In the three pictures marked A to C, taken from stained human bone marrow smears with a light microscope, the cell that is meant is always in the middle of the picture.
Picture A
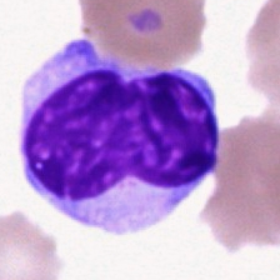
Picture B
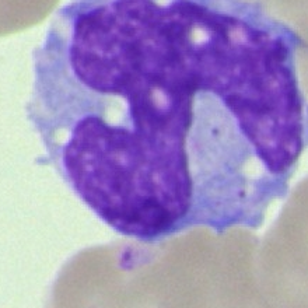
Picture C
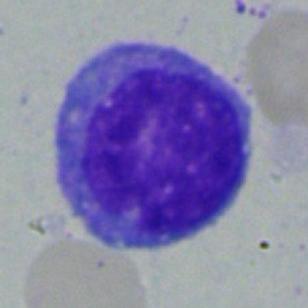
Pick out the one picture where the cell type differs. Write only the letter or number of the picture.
A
